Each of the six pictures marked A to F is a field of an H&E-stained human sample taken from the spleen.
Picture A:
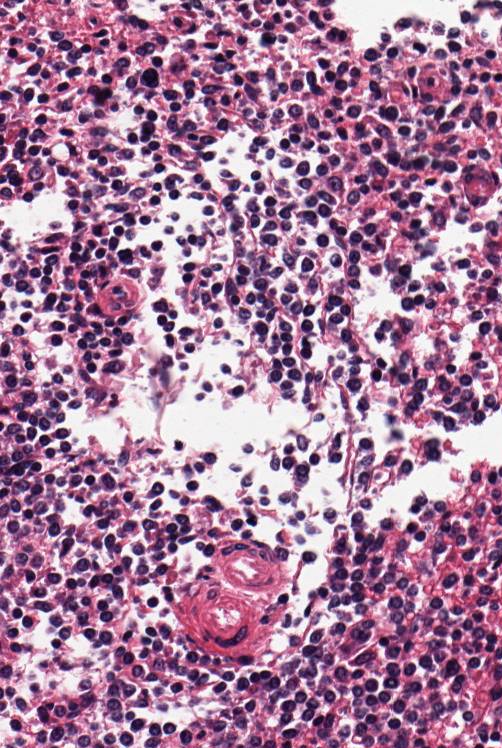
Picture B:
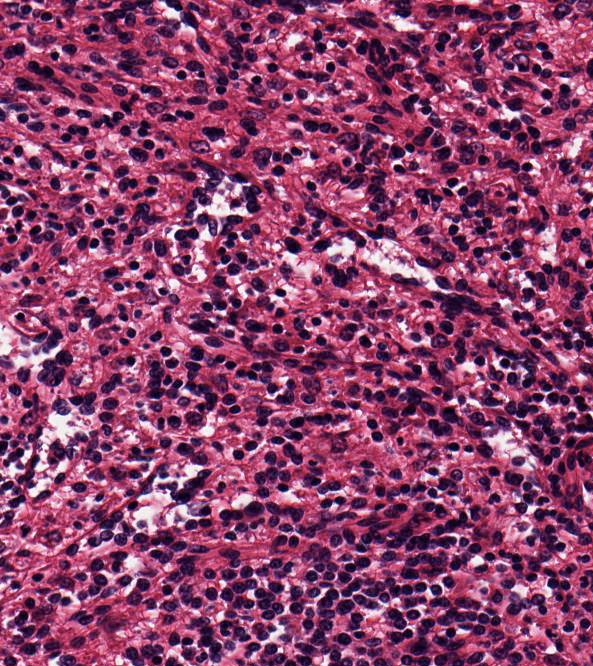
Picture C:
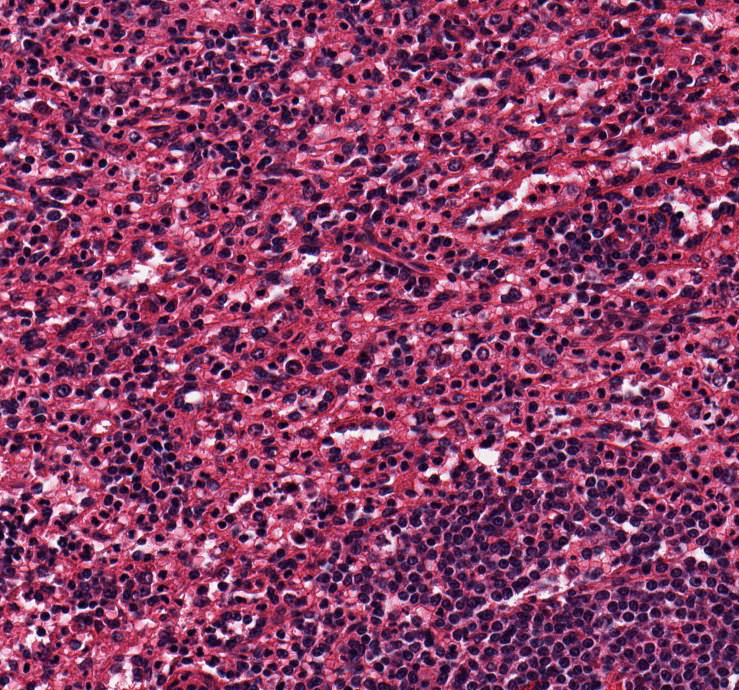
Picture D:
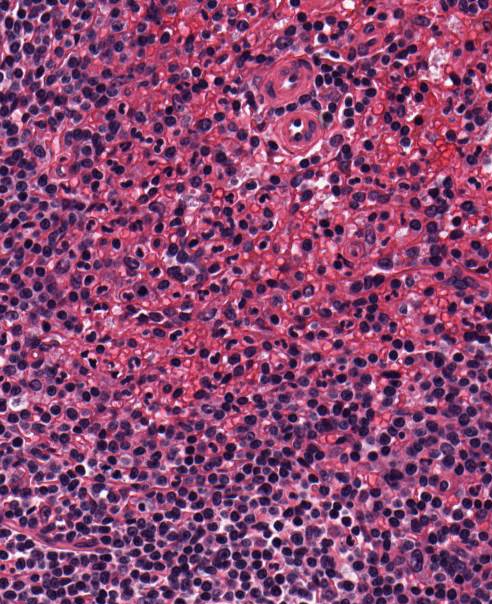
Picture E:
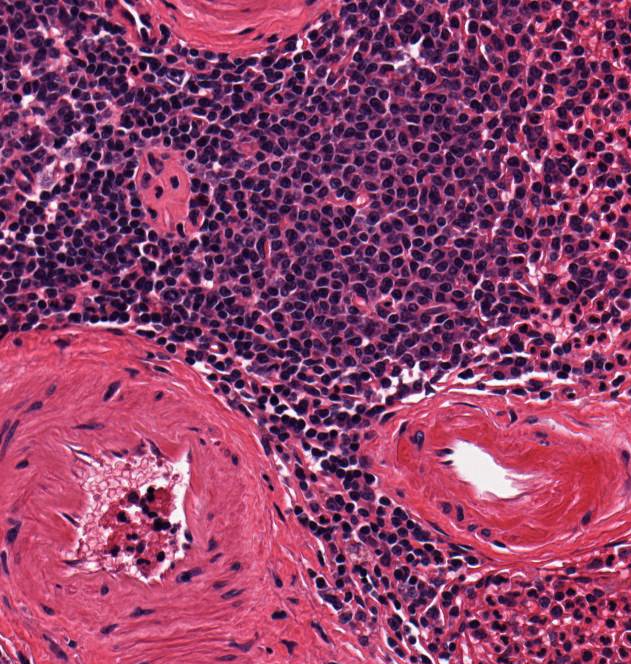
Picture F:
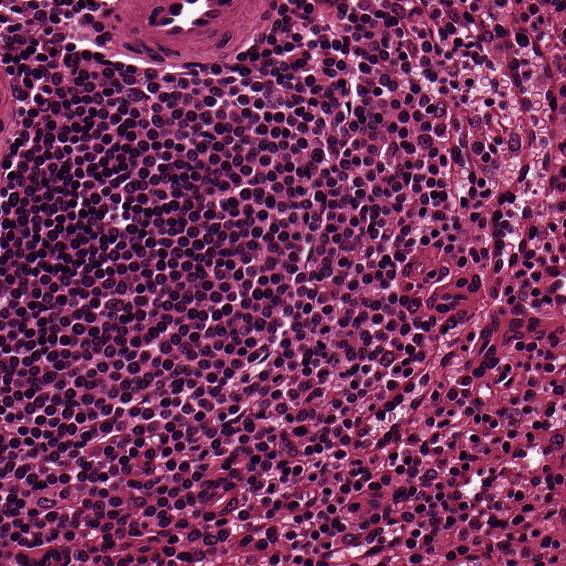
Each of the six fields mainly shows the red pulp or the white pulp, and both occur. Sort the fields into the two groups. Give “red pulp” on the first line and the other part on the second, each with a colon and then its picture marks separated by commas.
red pulp: B, C
white pulp: A, D, E, F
